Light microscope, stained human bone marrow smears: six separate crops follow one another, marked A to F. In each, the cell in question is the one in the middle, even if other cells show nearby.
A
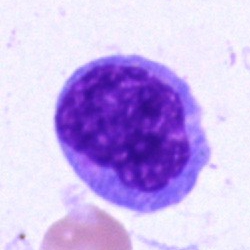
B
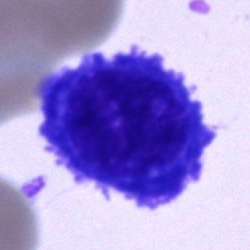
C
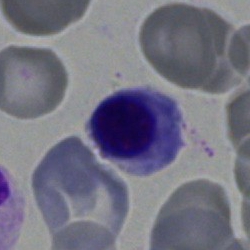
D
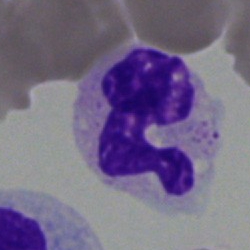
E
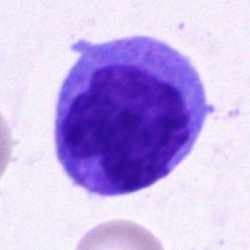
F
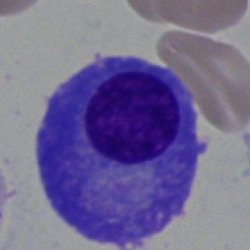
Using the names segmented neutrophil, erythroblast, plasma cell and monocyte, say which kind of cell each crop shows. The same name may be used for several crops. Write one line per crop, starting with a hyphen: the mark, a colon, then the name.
- A: monocyte
- B: plasma cell
- C: erythroblast
- D: segmented neutrophil
- E: monocyte
- F: plasma cell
